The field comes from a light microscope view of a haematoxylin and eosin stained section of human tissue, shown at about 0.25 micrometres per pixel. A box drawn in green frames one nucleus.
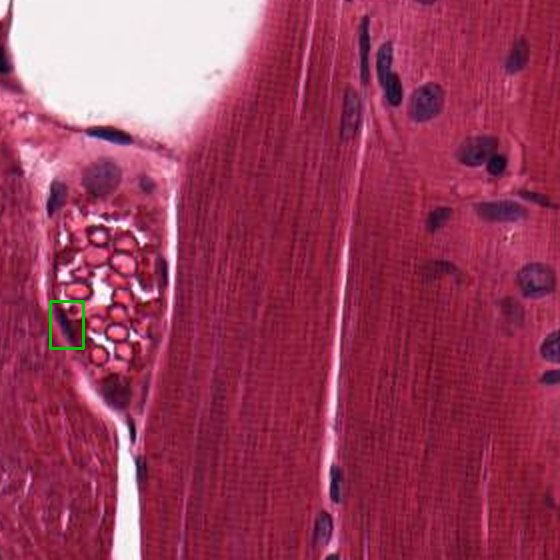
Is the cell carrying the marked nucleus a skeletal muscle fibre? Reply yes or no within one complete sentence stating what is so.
No, a supporting cell, not a skeletal muscle fibre, carries the marked nucleus.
